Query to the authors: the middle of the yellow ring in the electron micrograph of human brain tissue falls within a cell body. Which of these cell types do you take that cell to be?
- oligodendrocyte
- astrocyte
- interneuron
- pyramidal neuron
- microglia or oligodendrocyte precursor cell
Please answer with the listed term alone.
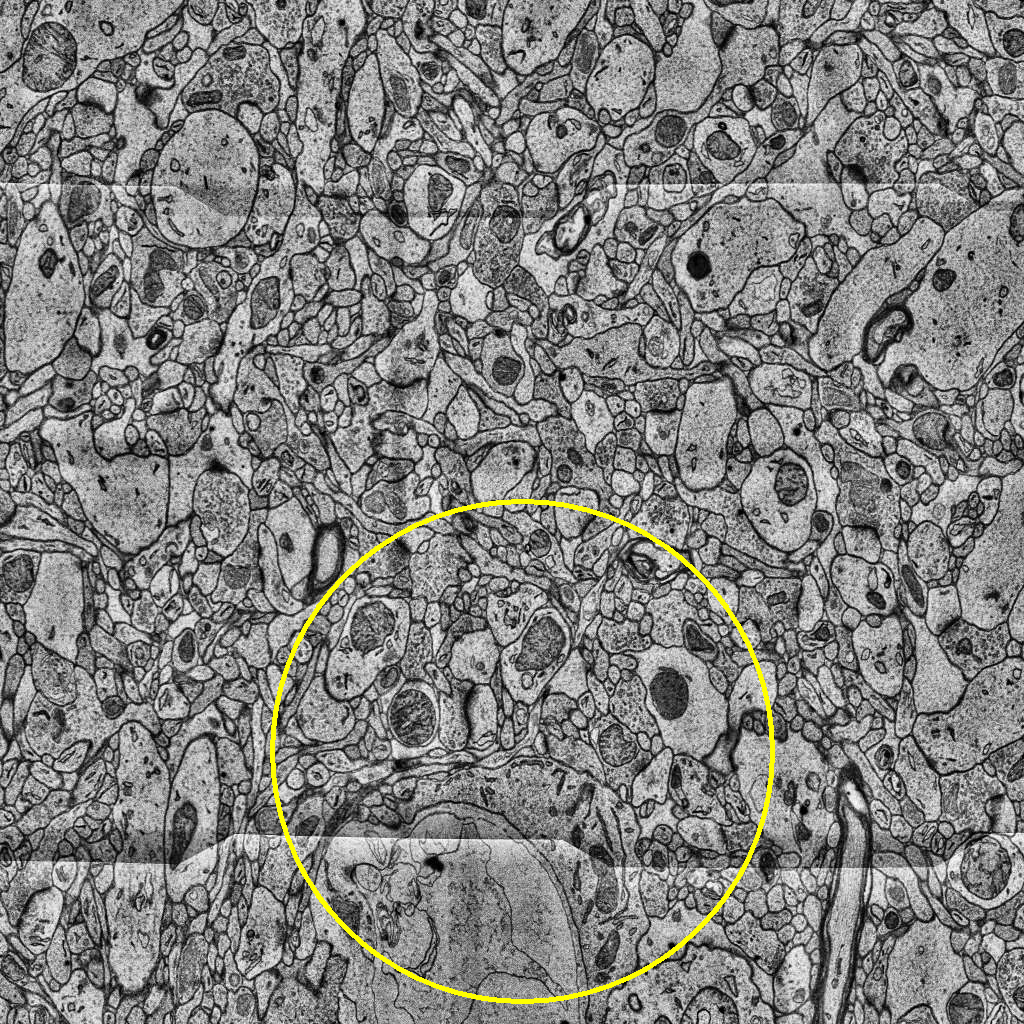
microglia or oligodendrocyte precursor cell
